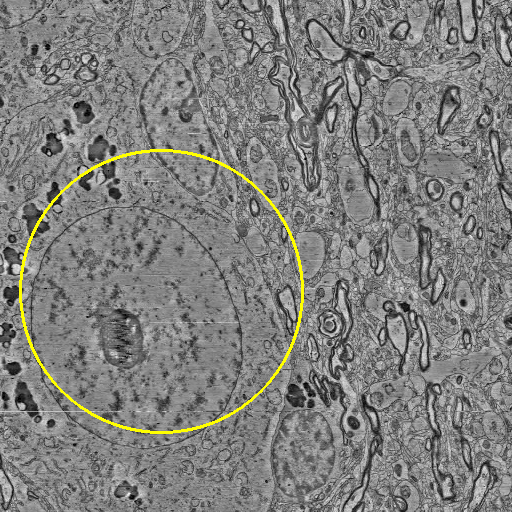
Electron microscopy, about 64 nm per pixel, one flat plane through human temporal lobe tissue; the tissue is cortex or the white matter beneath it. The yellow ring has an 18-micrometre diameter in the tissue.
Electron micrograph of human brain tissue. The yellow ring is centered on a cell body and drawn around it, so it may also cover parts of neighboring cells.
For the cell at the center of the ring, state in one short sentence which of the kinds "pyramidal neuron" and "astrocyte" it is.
This ring is centered on a pyramidal neuron.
